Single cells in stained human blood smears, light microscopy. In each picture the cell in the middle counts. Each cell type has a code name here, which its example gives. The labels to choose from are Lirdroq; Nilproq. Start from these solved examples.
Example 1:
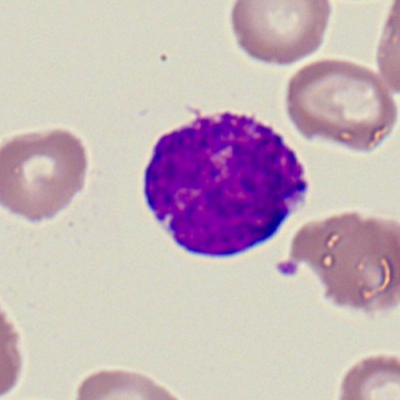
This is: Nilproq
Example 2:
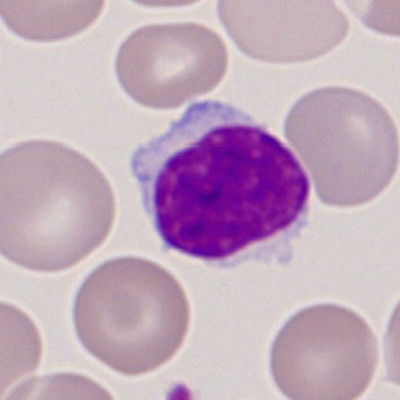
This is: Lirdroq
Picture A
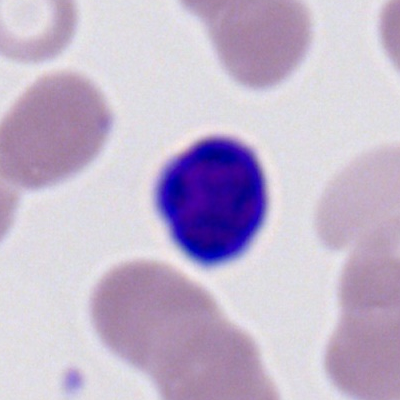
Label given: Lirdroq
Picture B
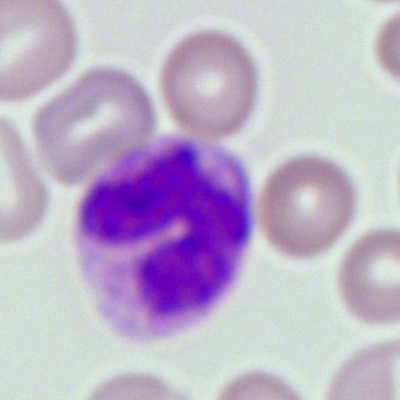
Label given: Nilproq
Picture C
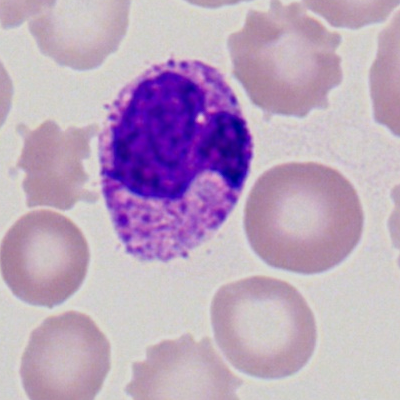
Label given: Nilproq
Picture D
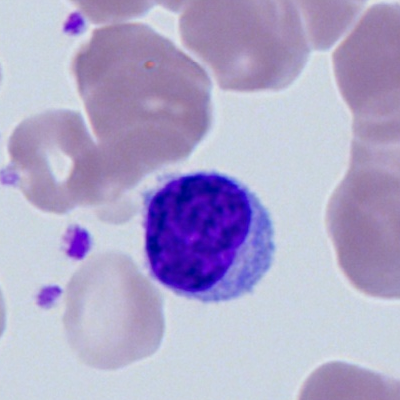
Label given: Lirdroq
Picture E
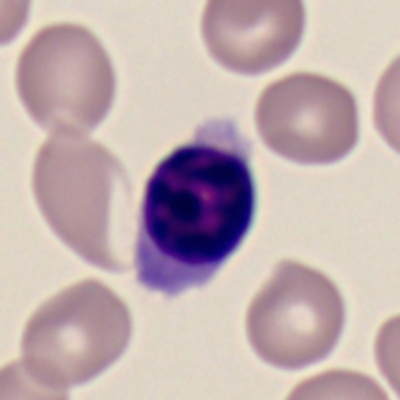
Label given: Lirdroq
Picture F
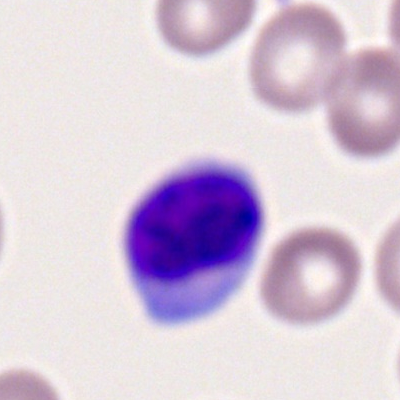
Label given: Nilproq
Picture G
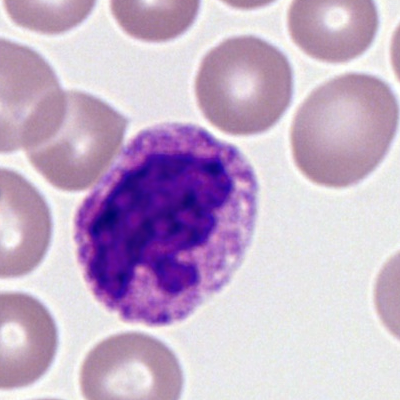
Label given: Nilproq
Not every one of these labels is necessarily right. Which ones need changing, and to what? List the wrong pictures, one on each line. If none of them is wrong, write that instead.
F: change Nilproq to Lirdroq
